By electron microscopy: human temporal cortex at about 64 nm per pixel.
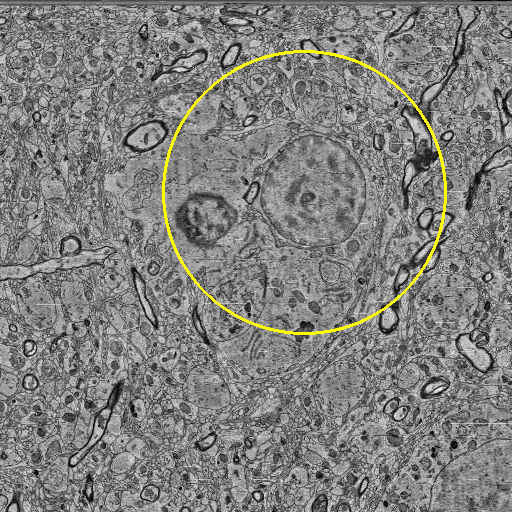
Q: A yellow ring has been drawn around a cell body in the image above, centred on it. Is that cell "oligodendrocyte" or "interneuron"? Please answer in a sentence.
The ring surrounds the cell body of an oligodendrocyte.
